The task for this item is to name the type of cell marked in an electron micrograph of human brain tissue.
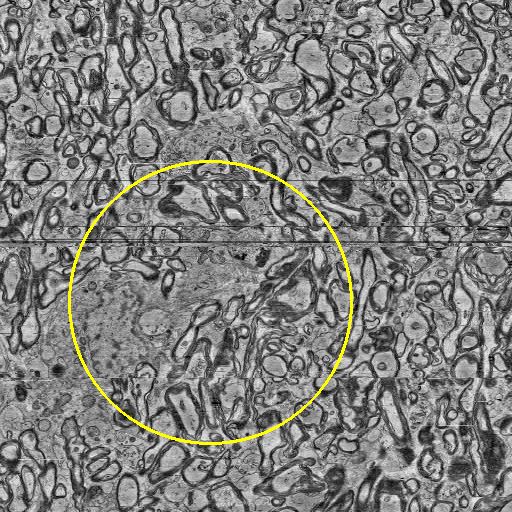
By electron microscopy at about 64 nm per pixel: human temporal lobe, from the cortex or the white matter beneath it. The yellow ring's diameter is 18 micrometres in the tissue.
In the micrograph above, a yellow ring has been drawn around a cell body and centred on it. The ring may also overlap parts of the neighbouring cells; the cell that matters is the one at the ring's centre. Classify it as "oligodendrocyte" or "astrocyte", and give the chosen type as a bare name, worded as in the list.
astrocyte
